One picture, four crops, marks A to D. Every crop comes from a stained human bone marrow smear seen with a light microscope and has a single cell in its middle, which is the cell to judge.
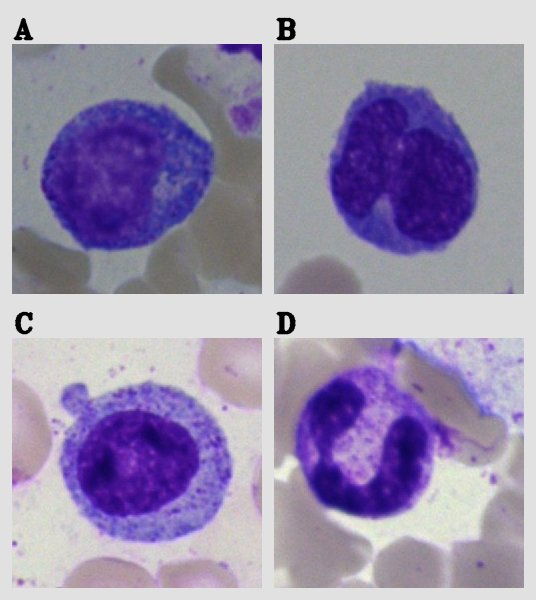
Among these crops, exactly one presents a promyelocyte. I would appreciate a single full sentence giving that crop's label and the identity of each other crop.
With respect to crop A, the cell is a promyelocyte, whereas crop B is a monocyte, crop C is a myelocyte and crop D is a segmented neutrophil.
